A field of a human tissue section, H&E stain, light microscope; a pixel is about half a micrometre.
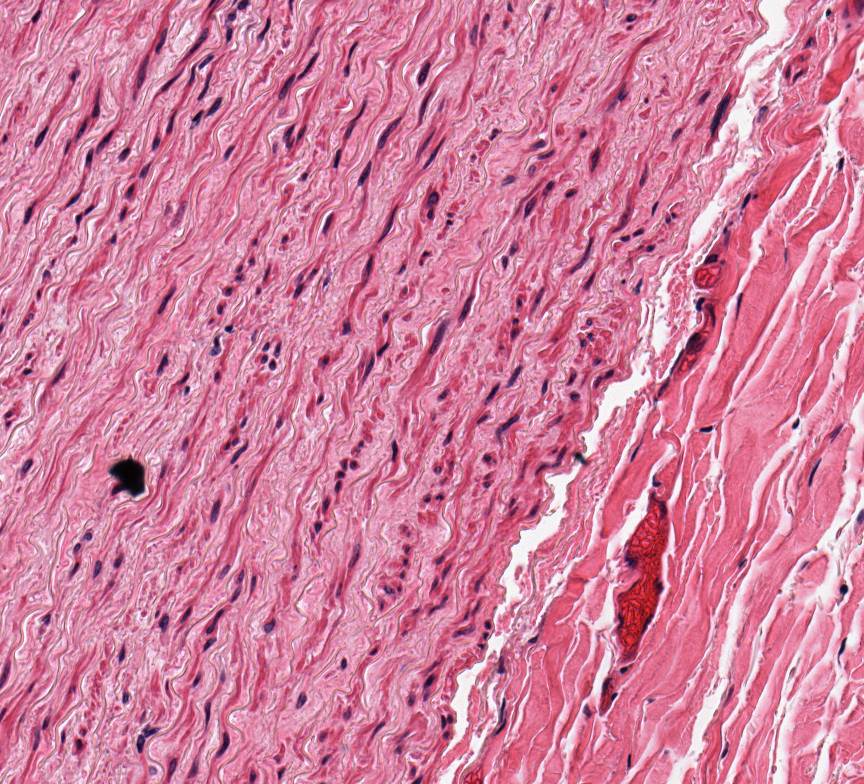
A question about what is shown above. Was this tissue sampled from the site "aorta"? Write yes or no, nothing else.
yes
